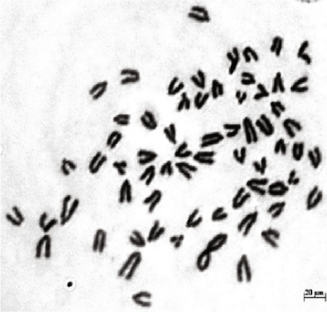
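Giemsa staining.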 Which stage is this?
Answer: Metaphase spreads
